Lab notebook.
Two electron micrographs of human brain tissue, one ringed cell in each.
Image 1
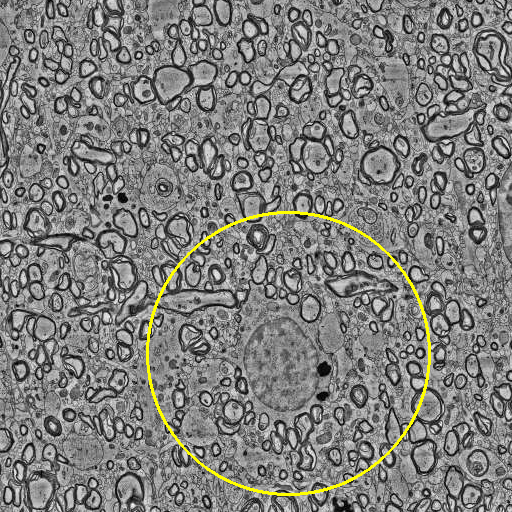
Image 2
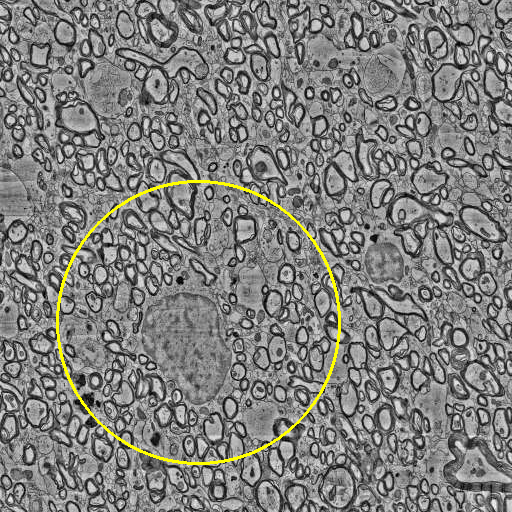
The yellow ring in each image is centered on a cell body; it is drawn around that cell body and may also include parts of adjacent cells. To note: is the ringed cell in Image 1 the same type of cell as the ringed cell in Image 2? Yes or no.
yes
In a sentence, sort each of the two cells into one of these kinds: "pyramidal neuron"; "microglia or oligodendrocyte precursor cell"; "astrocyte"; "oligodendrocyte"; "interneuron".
Each of the two cells is an oligodendrocyte.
